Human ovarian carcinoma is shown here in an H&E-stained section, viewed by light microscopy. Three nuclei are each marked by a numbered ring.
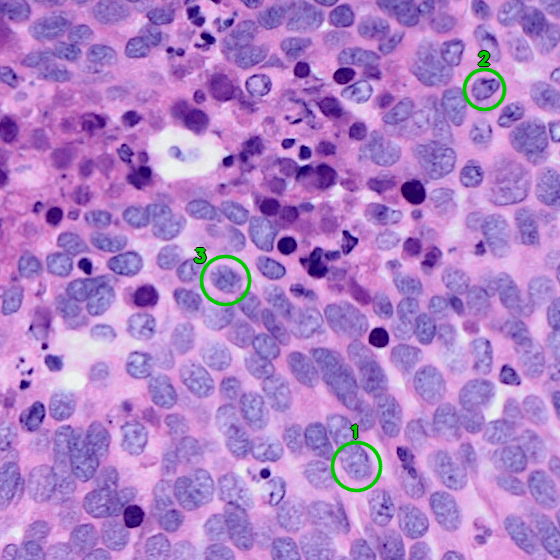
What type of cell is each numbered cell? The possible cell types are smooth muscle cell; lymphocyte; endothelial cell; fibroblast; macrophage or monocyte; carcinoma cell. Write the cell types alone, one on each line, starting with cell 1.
carcinoma cell
macrophage or monocyte
carcinoma cell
